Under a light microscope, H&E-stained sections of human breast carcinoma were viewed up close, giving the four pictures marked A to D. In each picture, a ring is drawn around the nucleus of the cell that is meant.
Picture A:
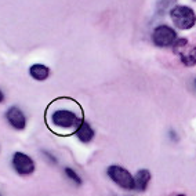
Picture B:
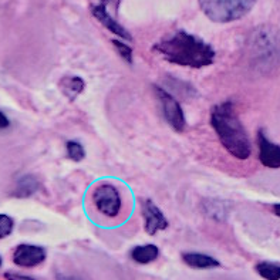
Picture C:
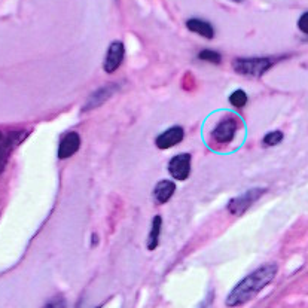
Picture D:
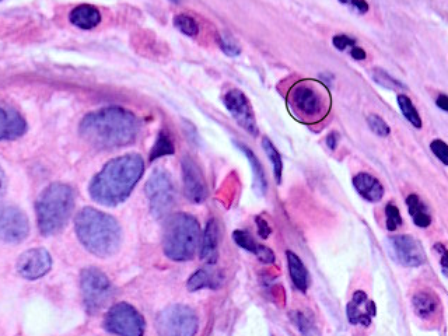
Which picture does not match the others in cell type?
A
